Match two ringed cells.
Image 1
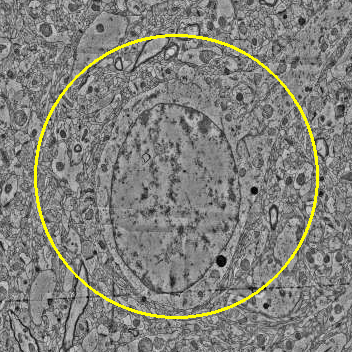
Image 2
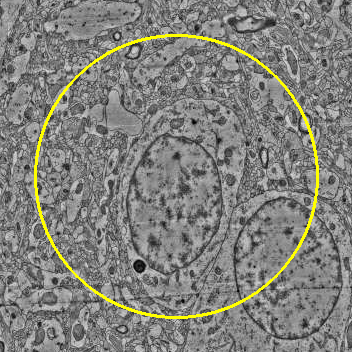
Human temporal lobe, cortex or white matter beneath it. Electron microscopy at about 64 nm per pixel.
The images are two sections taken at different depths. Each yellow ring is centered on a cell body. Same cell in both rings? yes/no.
yes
